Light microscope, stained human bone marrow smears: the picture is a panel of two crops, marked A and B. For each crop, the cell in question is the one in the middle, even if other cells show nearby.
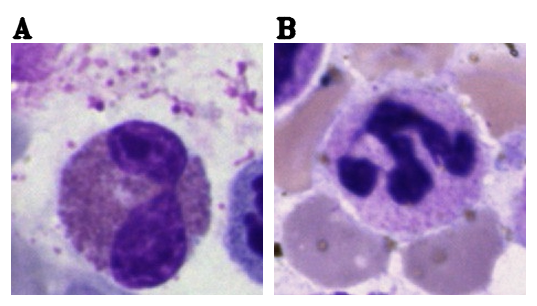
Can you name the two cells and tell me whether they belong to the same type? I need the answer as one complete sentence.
No, a segmented neutrophil is in crop B, and an eosinophil is in crop A.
